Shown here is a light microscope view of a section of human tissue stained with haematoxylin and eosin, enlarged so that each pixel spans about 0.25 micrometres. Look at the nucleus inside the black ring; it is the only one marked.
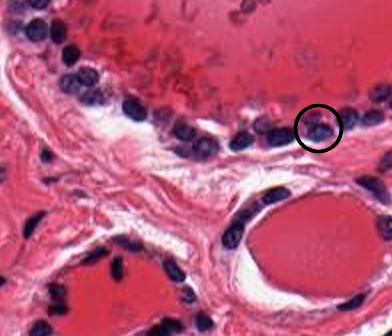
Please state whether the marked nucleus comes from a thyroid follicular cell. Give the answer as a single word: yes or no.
yes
